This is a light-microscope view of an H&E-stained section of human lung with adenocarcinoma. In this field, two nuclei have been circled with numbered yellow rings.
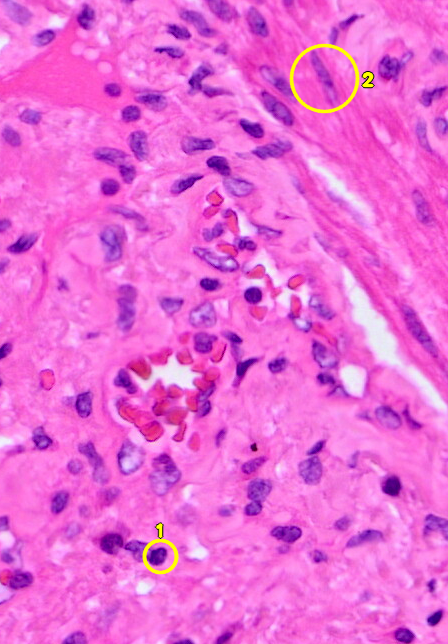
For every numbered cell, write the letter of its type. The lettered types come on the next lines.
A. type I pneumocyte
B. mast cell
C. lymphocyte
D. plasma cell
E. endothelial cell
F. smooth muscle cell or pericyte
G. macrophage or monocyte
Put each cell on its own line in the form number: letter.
1: C
2: F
